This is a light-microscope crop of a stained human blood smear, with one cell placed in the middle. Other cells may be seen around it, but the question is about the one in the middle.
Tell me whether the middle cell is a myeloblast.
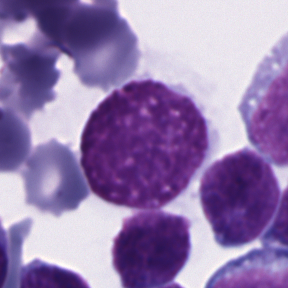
yes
